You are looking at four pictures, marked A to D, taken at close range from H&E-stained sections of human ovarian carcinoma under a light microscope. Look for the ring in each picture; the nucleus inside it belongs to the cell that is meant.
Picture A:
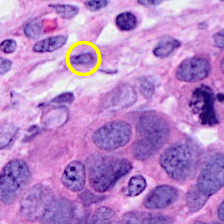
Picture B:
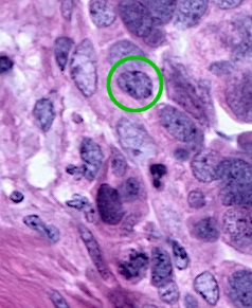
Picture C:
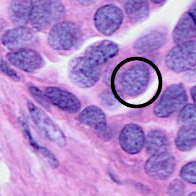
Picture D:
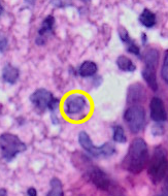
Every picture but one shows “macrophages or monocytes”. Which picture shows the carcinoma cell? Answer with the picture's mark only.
C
